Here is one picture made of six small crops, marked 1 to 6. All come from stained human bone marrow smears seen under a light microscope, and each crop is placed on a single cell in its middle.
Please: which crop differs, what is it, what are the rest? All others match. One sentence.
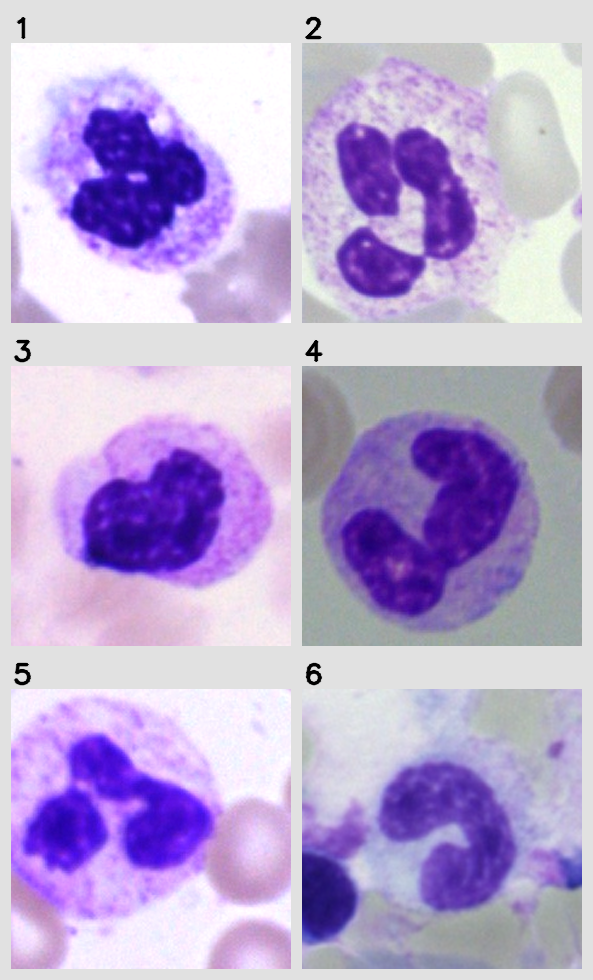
All the crops show segmented neutrophils except crop 6, which shows a band neutrophil.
